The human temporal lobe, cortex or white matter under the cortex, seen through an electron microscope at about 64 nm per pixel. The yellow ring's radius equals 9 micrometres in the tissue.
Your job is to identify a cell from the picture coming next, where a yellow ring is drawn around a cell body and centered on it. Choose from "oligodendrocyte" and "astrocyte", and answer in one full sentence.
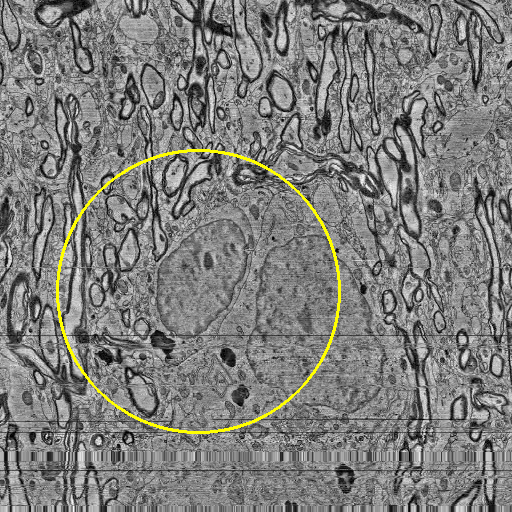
Centered in the yellow ring of the picture is the body of an oligodendrocyte.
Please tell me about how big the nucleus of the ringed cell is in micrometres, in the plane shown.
The nucleus is approximately 8 micrometres long but only about 5 wide, clearly longer than it is wide in this plane.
